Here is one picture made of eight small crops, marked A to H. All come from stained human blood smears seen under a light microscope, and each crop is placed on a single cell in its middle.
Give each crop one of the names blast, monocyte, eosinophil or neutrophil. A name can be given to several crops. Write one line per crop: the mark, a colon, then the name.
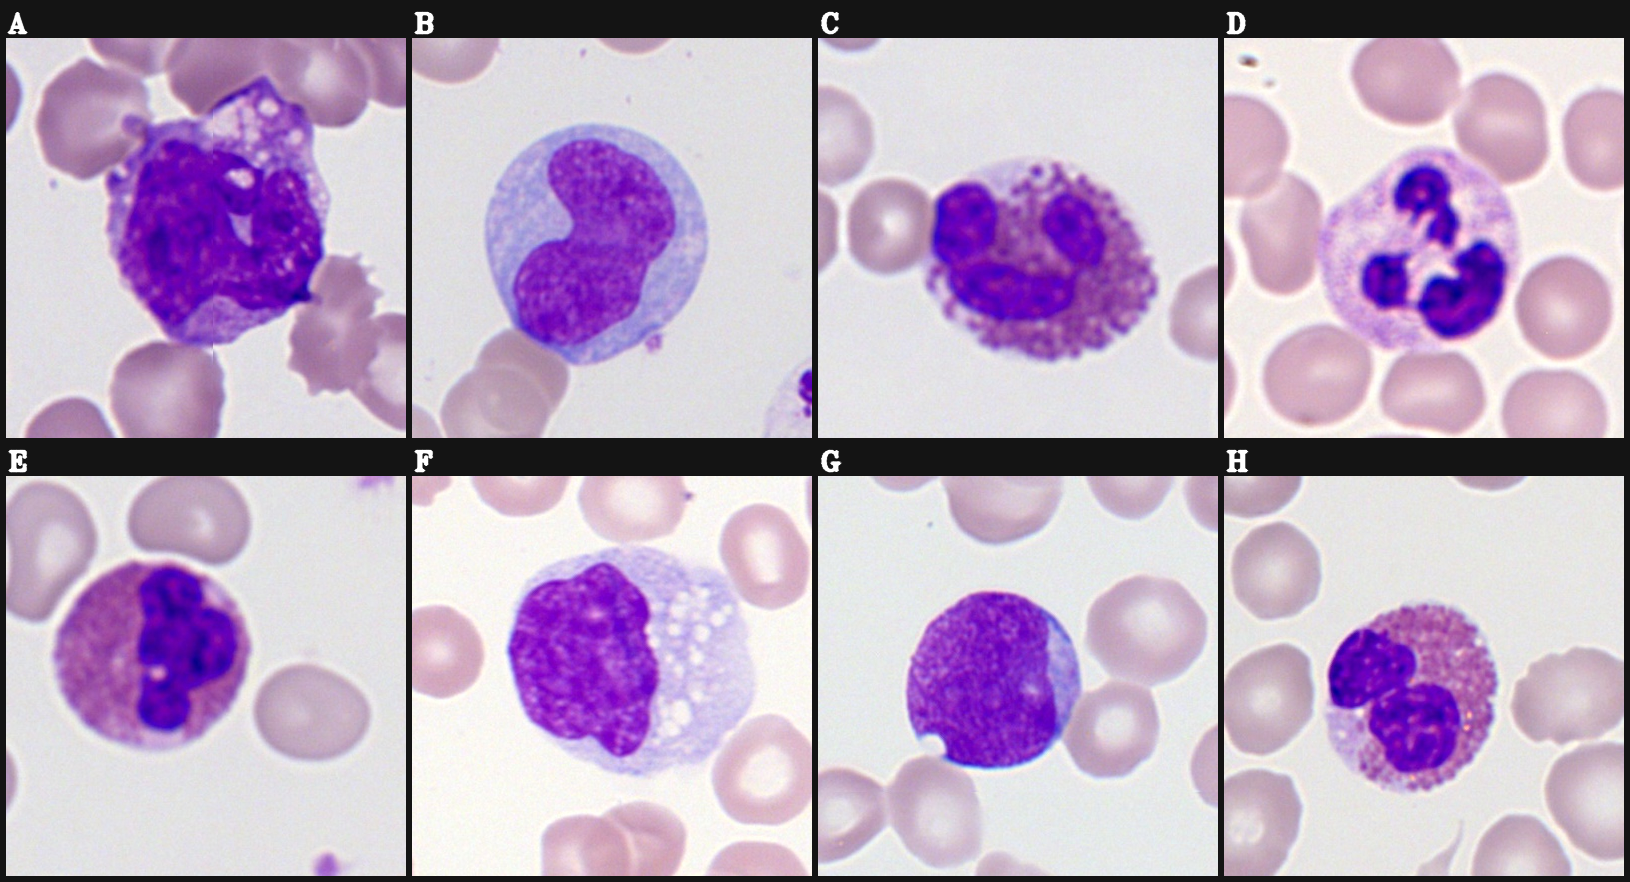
A: monocyte
B: monocyte
C: eosinophil
D: neutrophil
E: eosinophil
F: monocyte
G: blast
H: eosinophil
